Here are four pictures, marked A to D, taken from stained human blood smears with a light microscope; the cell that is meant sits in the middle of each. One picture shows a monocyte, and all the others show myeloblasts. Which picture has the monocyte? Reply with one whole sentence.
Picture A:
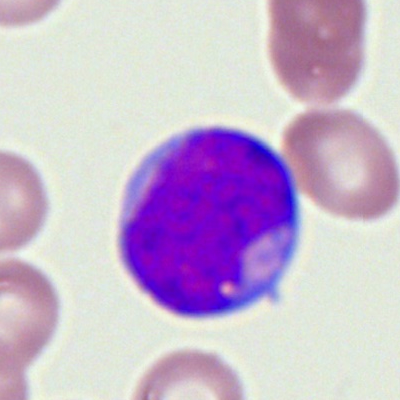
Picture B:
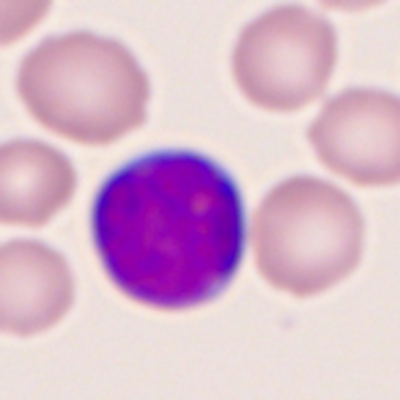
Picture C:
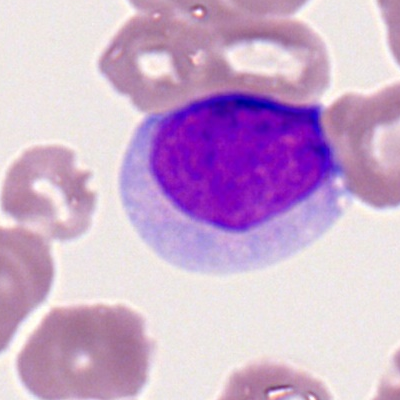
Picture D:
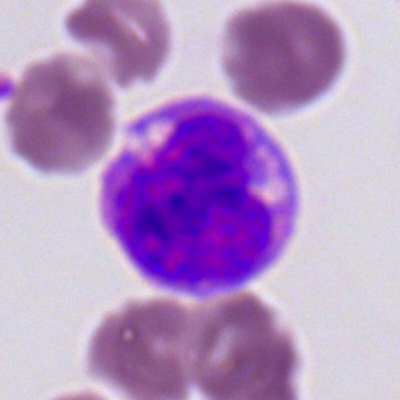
Picture D is the one that shows the monocyte.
